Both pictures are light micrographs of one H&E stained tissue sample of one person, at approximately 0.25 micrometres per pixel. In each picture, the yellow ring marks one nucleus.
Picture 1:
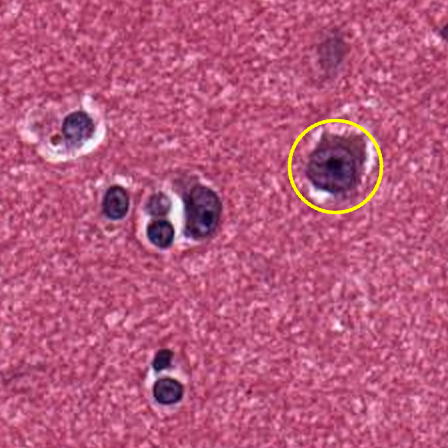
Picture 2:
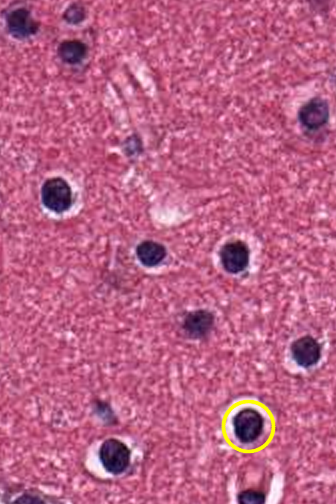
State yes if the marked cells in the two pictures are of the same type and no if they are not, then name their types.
No, the first is a neuron and the second an oligodendrocyte.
